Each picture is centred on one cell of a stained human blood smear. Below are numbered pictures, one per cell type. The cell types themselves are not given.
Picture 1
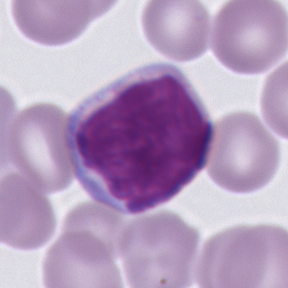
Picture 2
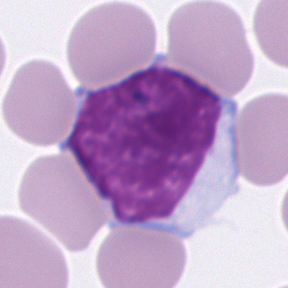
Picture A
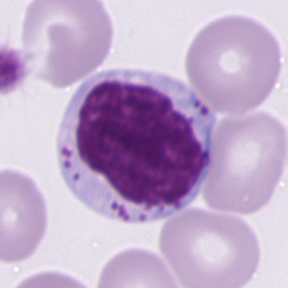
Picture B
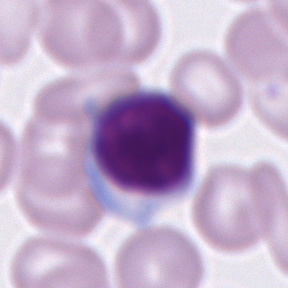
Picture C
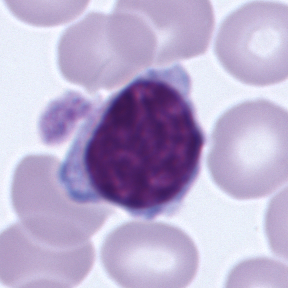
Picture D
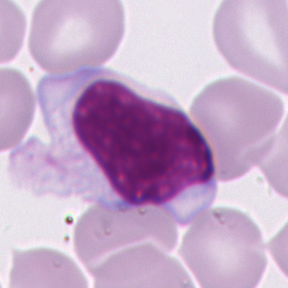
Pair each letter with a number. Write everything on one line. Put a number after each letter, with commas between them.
A 1, B 2, C 2, D 1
